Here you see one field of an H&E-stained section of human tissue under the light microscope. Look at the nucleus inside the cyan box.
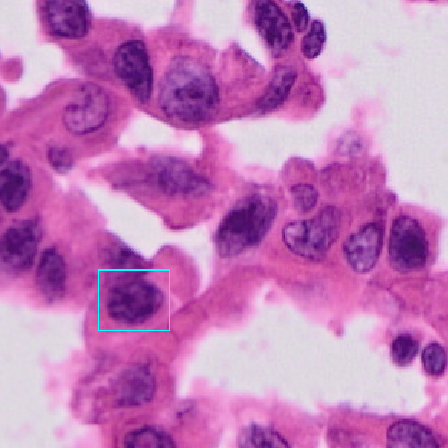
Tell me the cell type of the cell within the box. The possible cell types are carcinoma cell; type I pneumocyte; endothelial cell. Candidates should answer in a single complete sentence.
On this particular slide, the cell within the box is a carcinoma cell.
